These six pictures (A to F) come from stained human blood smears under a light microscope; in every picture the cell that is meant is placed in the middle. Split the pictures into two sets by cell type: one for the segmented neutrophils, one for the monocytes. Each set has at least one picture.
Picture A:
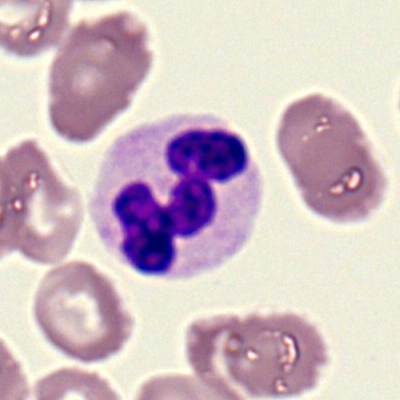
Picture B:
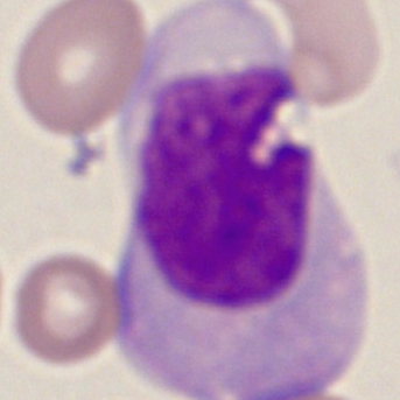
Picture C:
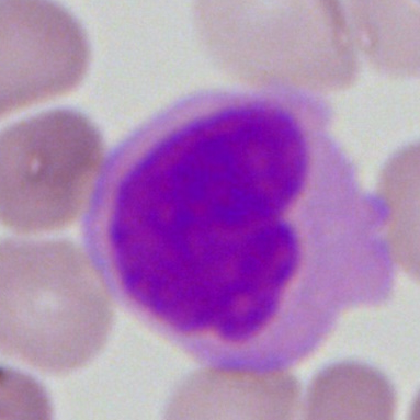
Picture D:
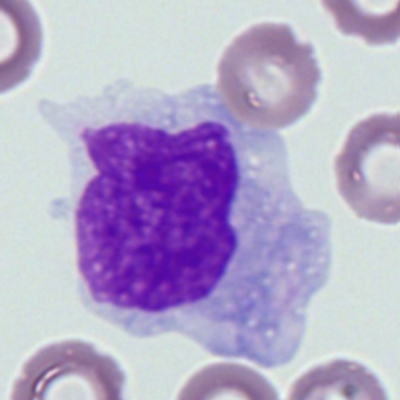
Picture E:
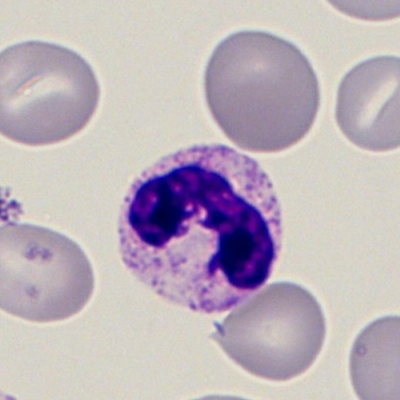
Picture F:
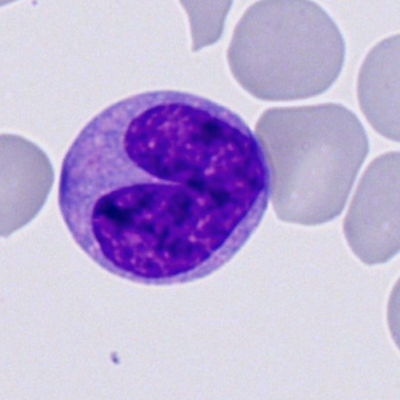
A: segmented neutrophil
B: monocyte
C: monocyte
D: monocyte
E: segmented neutrophil
F: monocyte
